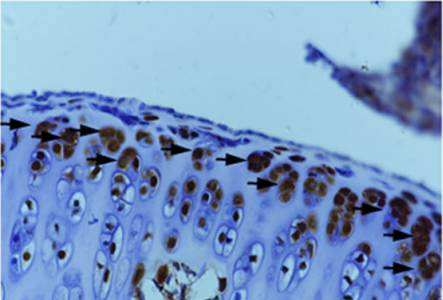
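This is cartilage with chondrocytes sitting in lacunae within a pale blue matrix. Near the surface lies a thin layer of flattened cells, and beneath it many rounded cells are crowded in a band, most of them stained dark brown, several marked by arrows. Deeper down the cells become larger and lie in clear lacunae, singly or in small groups, some still brown, others pale. The matrix between them is smooth and blue. At the lower edge lies tissue with spaces and brown-stained cells. These are the cartilage chondrocytes, and the brown stain concentrates in them.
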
